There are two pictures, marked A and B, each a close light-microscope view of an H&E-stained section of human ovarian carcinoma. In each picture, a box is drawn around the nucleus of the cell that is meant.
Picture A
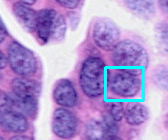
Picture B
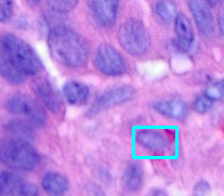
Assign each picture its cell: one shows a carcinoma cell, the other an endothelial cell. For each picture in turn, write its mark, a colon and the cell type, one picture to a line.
A: carcinoma cell
B: endothelial cell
